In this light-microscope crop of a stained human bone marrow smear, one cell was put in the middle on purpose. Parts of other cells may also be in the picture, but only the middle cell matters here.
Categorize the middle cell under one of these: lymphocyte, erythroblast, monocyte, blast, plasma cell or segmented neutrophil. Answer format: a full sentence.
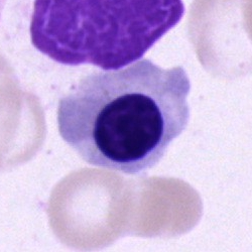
Classification of the middle cell gives an erythroblast.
